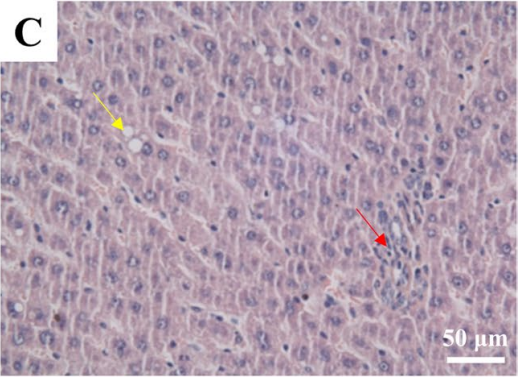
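Liver parenchyma with hepatocytes arranged in fairly regular cords separated by narrow sinusoidal spaces. The hepatocytes have pink cytoplasm and round nuclei with nucleoli. Only a few small clear vacuoles are seen in the cytoplasm. A small focus of closely packed, small dark nuclei lies among the hepatocytes, consistent with an inflammatory cell infiltrate.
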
